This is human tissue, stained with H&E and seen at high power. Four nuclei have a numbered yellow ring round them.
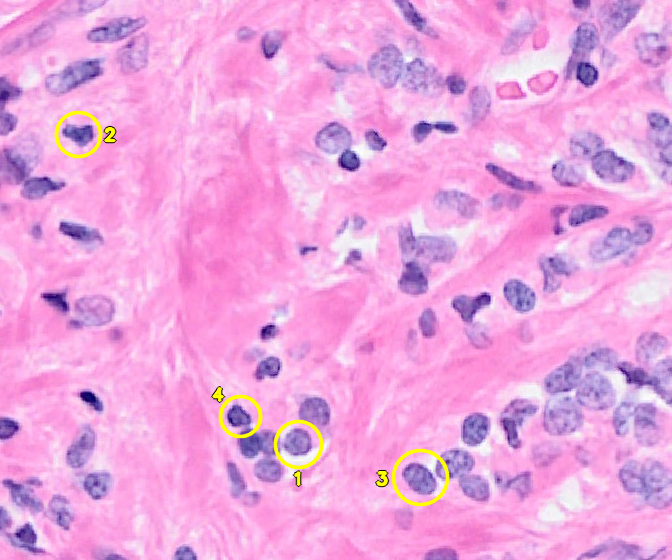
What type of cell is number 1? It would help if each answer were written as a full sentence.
The cell to which the number 1 is assigned is a carcinoma cell.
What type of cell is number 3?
The mark numbered 3 indicates the nucleus of a carcinoma cell.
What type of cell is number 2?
Denoted by the label 2 in the section is a lymphocyte.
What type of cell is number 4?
The mark numbered 4 indicates the nucleus of a lymphocyte.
